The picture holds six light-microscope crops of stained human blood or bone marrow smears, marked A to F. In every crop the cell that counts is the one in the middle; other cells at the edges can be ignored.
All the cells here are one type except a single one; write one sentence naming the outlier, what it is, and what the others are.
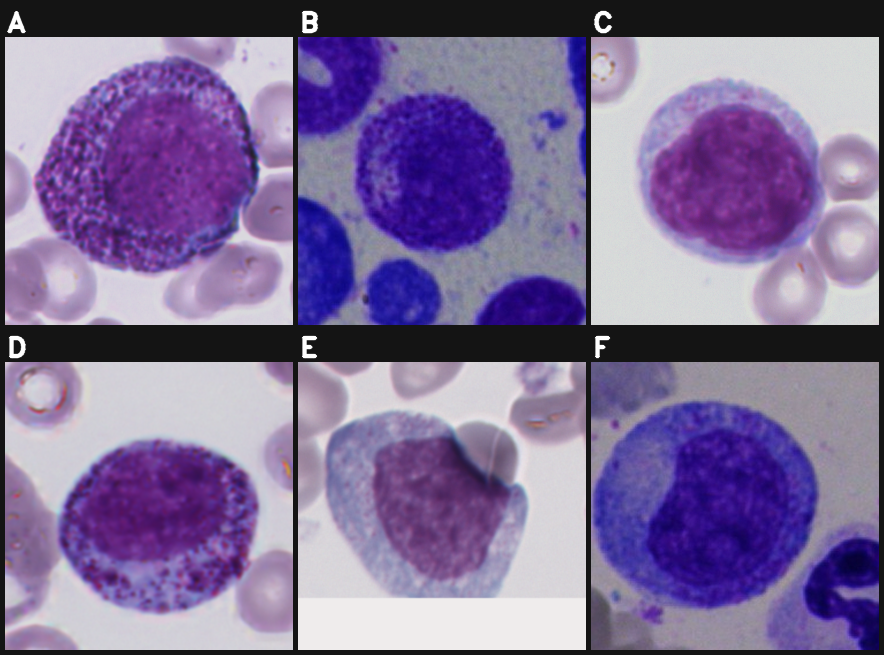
Crop B differs from its companions, showing a myelocyte where they show promyelocytes.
